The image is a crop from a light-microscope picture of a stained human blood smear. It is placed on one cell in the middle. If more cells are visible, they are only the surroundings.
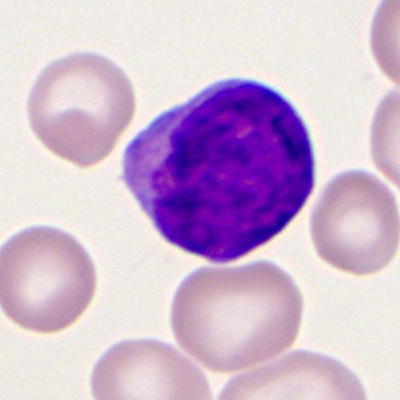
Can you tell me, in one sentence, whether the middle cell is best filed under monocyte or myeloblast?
The cell featured at the centre of this crop is a myeloblast.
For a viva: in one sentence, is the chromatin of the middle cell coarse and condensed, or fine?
Just so you know, its chromatin is coarsely clumped.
